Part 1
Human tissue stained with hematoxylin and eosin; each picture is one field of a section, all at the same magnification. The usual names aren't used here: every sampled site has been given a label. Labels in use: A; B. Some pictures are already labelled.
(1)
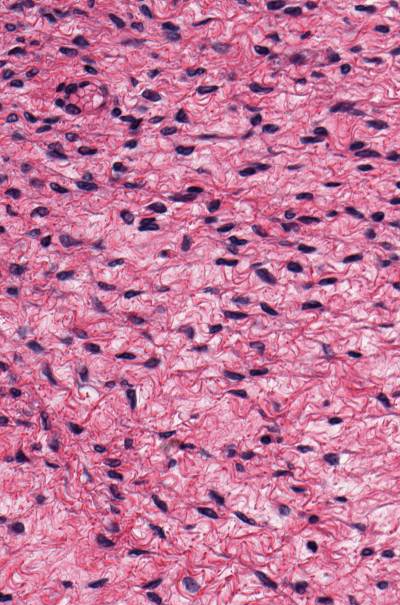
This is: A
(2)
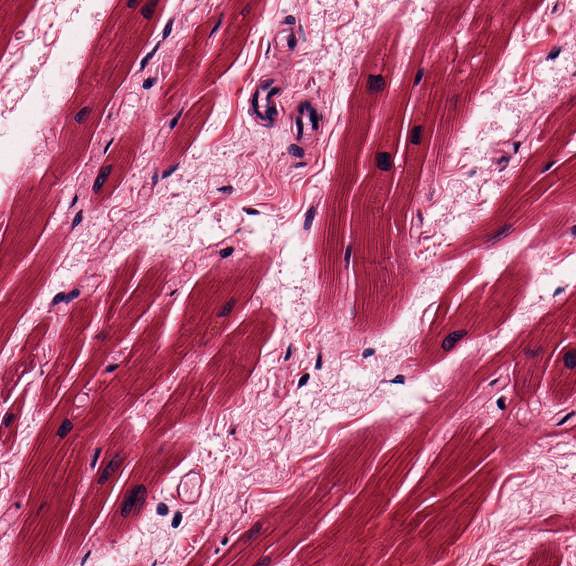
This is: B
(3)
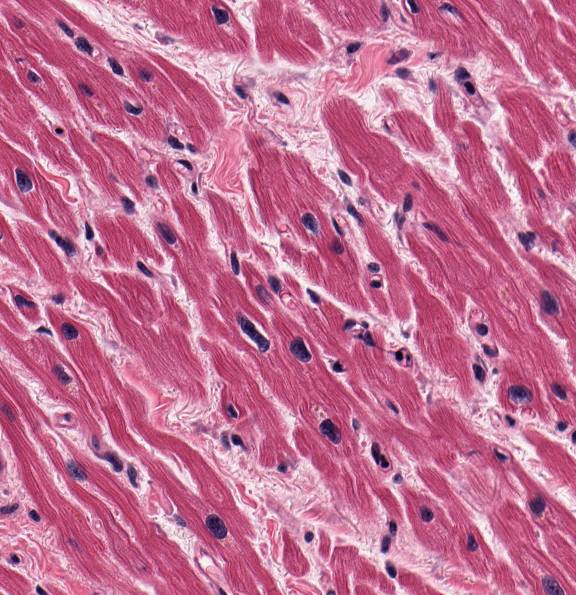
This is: B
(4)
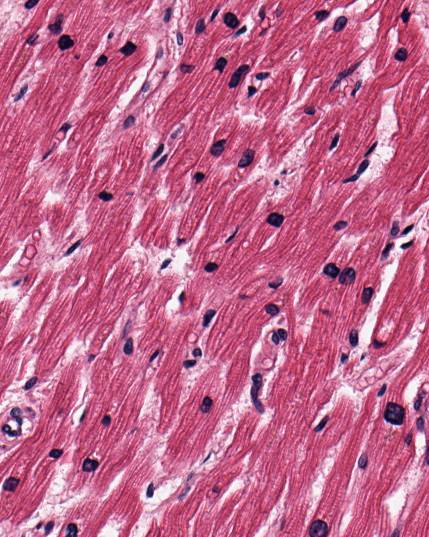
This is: B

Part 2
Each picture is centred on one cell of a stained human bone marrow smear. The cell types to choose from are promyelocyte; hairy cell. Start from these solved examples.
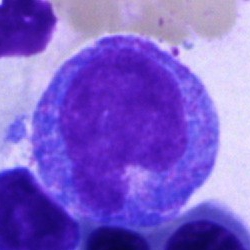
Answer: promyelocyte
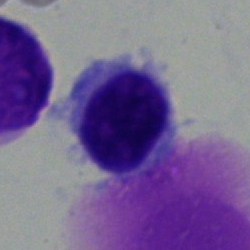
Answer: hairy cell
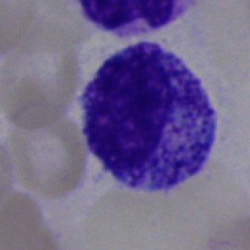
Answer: promyelocyte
